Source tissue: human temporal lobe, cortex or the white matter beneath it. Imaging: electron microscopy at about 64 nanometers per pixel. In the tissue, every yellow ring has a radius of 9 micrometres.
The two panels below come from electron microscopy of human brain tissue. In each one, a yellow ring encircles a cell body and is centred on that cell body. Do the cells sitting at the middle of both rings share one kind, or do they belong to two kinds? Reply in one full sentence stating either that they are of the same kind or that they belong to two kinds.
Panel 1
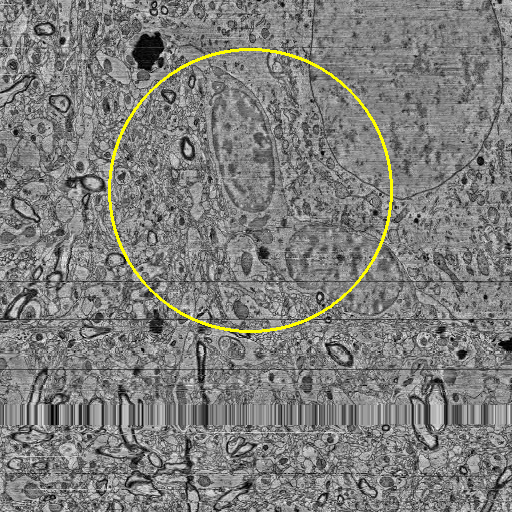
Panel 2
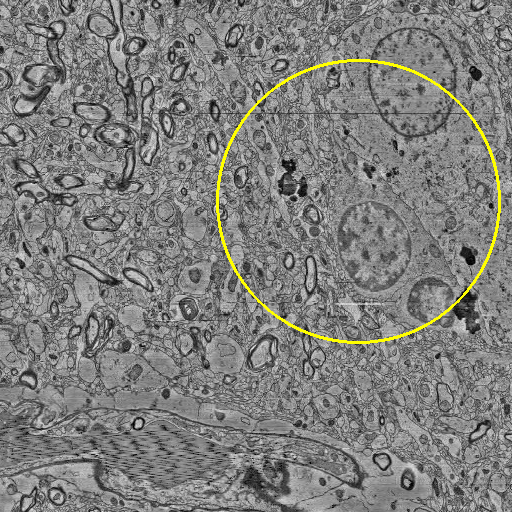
The cells at the centres of the two rings are of the same kind.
